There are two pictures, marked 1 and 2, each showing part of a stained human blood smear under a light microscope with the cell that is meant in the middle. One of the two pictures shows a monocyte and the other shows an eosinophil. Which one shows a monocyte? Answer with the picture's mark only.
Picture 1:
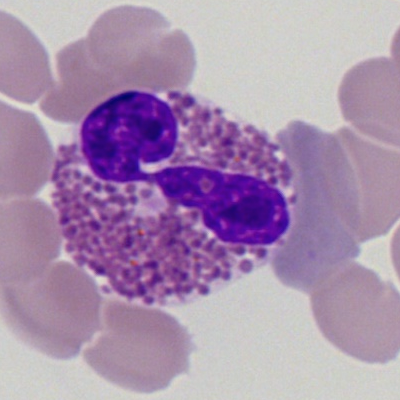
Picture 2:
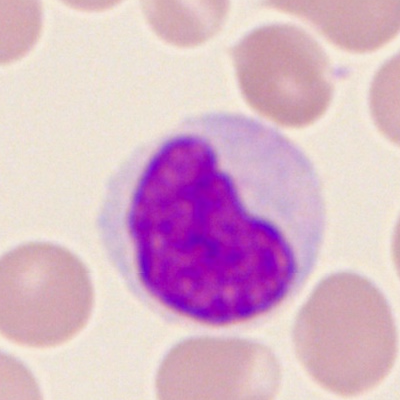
2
